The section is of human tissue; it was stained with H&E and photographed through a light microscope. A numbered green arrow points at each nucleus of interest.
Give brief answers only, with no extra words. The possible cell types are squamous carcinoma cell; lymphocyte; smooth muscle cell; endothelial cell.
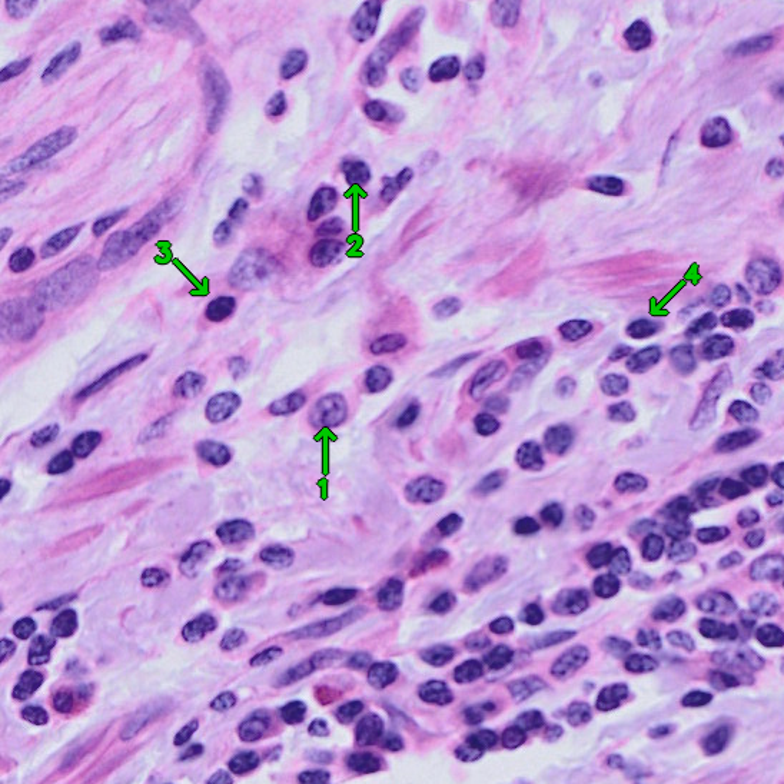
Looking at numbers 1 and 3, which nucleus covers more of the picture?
1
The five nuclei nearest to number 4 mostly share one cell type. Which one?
lymphocyte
